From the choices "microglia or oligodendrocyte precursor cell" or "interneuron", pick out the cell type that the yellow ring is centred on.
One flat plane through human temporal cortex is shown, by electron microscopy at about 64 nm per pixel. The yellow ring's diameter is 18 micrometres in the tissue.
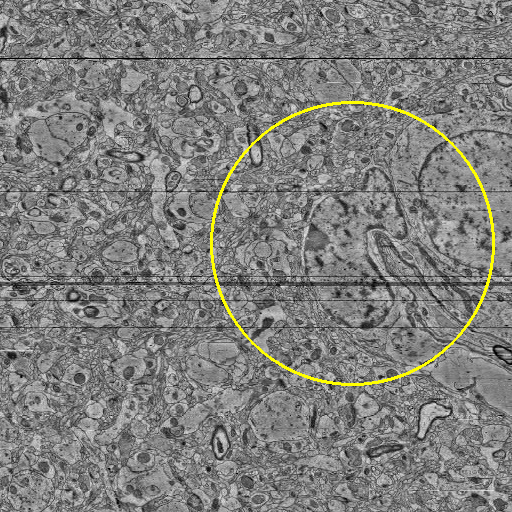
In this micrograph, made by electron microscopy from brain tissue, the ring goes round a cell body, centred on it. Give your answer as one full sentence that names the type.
The yellow ring is centred on a microglial cell or oligodendrocyte precursor cell, whose cell body it encircles in the picture.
